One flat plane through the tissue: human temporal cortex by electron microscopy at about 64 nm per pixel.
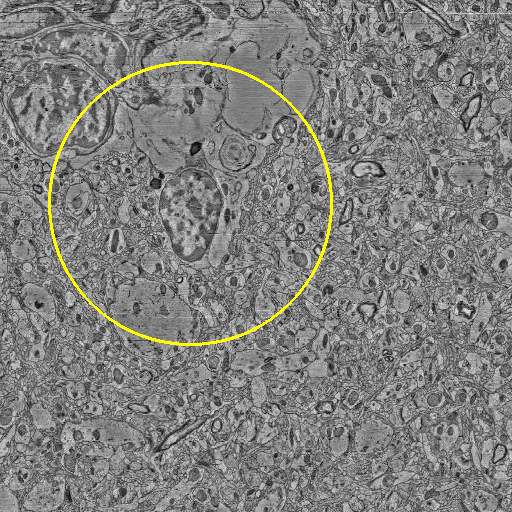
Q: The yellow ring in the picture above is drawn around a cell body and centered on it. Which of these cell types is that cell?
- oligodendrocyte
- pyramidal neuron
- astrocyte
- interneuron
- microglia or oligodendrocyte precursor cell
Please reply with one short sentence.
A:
The cell body at the ring's center belongs to a microglial cell or oligodendrocyte precursor cell.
